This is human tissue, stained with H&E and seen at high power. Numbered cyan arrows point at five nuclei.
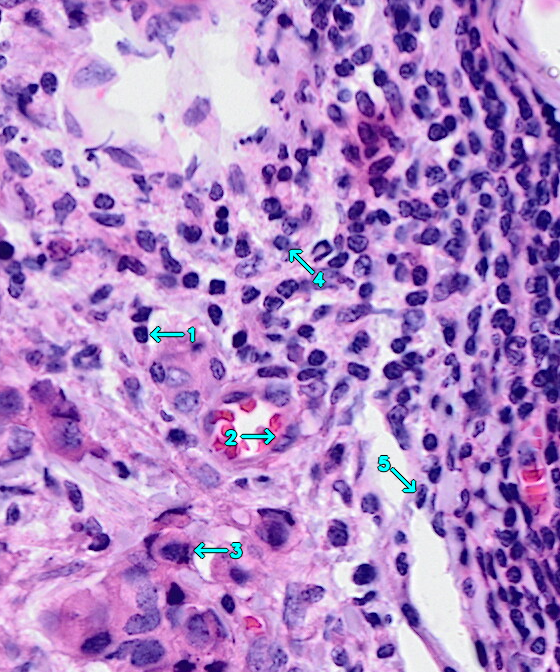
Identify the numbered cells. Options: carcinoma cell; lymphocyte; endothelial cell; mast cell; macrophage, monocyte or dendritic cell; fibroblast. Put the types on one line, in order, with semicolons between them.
lymphocyte; endothelial cell; carcinoma cell; lymphocyte; lymphocyte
